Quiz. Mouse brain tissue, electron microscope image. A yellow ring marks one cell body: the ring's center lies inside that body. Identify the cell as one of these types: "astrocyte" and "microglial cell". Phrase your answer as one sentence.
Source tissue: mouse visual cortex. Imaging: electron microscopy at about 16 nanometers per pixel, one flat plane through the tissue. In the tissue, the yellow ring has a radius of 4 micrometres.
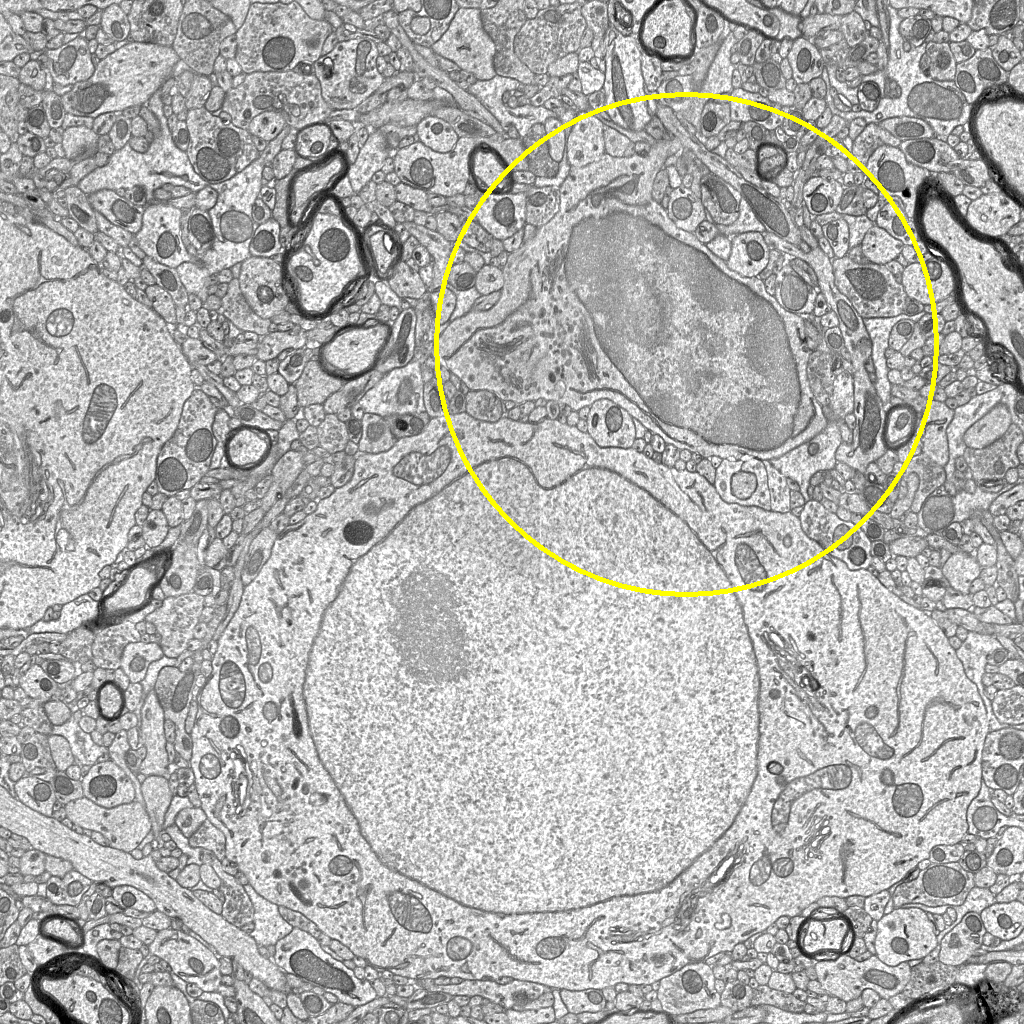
At the center of the ring sits a microglial cell.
